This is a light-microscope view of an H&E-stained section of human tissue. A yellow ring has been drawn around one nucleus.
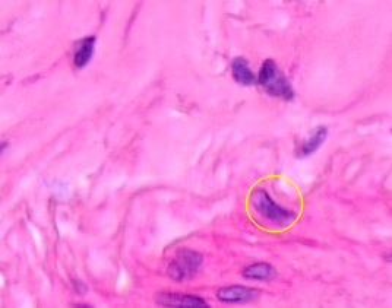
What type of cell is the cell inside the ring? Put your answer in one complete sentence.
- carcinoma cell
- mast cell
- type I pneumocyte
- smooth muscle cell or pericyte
The cell meant here is a smooth muscle cell or pericyte.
